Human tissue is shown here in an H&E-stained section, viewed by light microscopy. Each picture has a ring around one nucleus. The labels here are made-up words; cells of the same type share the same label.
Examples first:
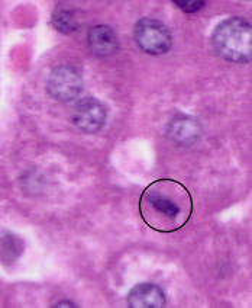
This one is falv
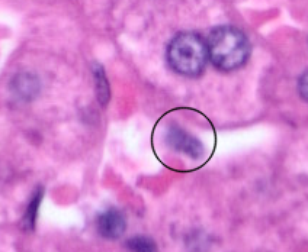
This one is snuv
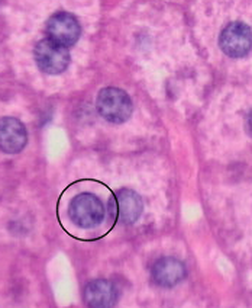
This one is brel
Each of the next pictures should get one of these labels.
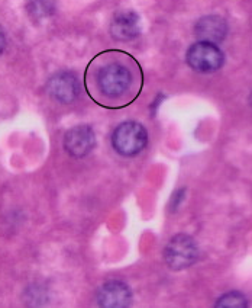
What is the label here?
brel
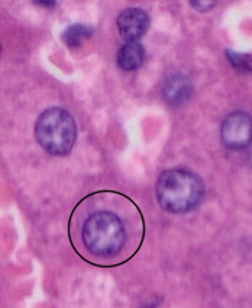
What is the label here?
brel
